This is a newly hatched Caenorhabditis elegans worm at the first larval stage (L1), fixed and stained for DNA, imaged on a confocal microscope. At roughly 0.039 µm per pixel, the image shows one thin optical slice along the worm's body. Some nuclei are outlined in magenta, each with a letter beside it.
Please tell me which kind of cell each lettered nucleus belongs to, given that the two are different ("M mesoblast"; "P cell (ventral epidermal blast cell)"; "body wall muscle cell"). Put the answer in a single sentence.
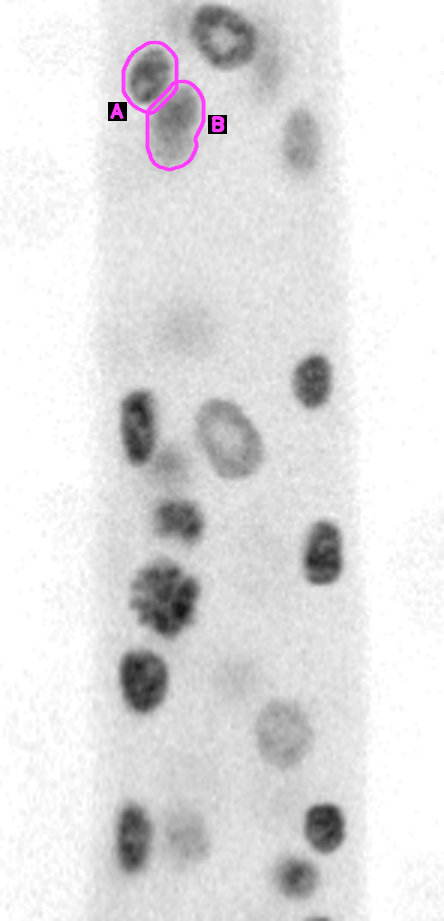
The nucleus A is that of a body wall muscle cell, while B is that of a P cell (ventral epidermal blast cell).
